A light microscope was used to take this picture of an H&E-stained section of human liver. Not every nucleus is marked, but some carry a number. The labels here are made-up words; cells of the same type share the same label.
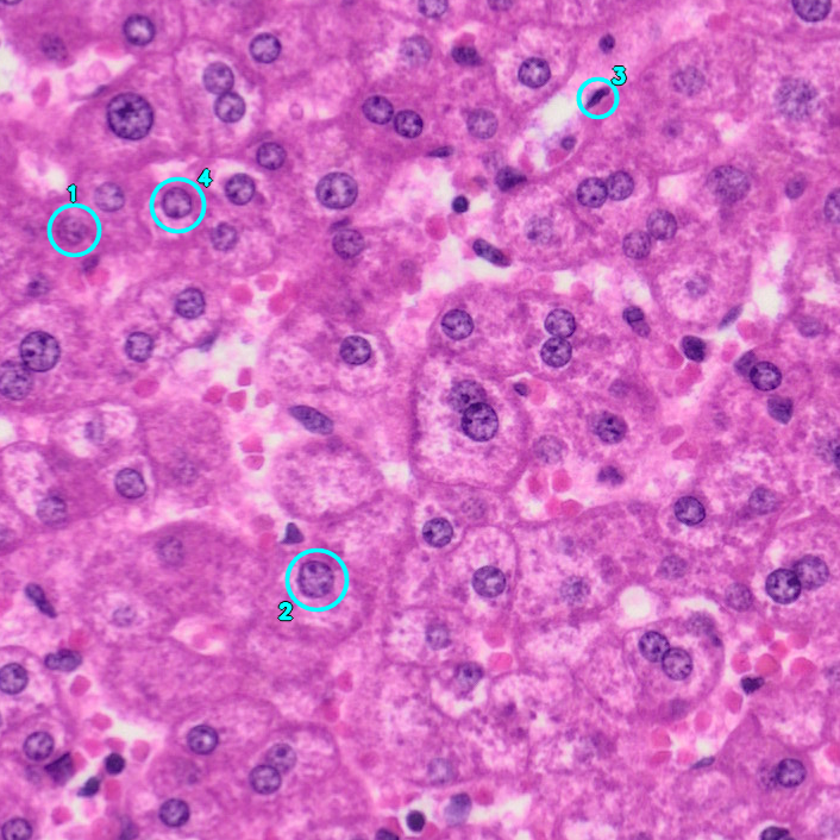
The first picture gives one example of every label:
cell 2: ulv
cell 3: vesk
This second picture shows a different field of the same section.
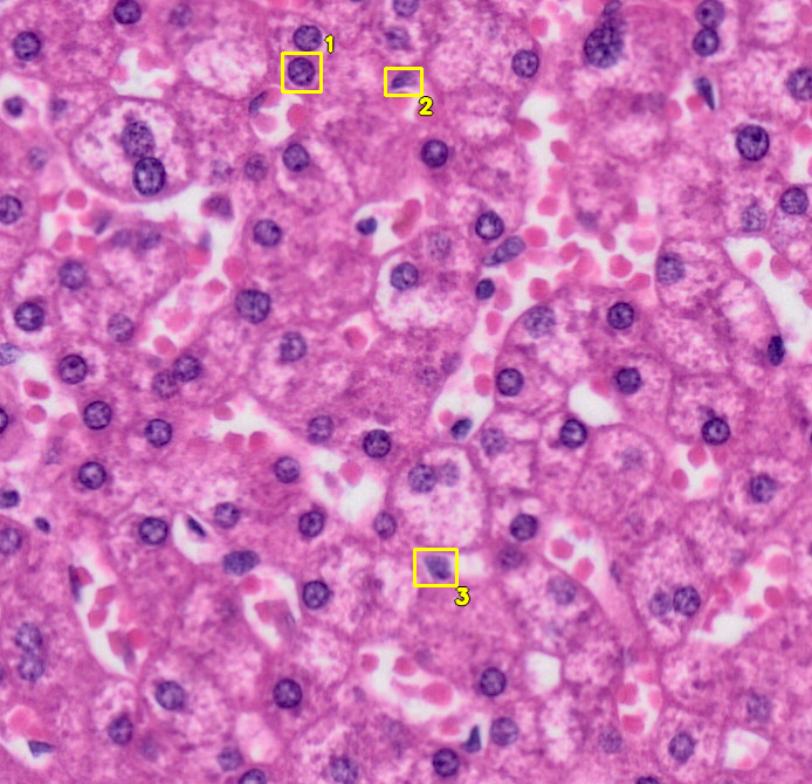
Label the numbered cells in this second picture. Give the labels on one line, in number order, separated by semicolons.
ulv; vesk; vesk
